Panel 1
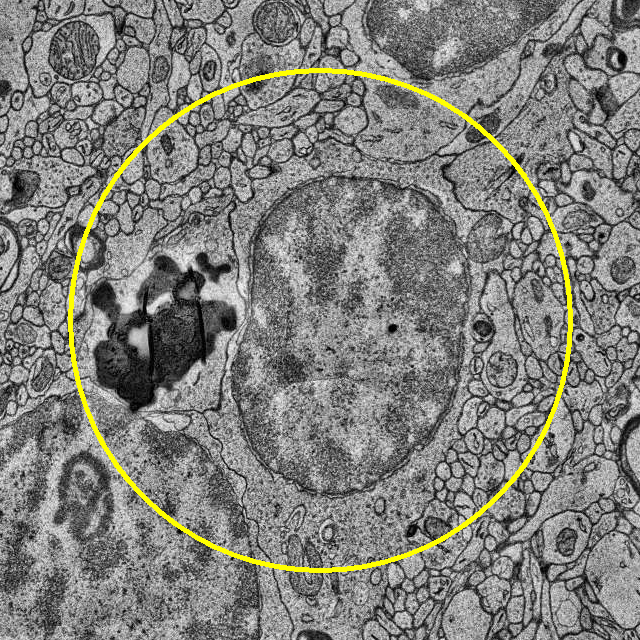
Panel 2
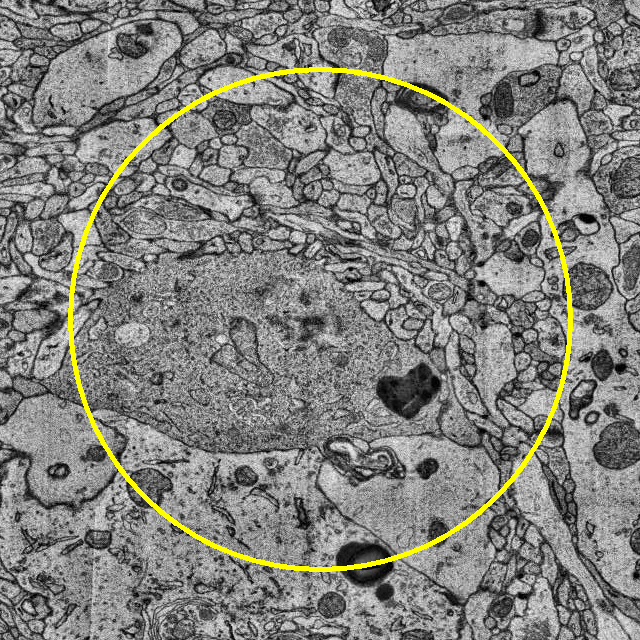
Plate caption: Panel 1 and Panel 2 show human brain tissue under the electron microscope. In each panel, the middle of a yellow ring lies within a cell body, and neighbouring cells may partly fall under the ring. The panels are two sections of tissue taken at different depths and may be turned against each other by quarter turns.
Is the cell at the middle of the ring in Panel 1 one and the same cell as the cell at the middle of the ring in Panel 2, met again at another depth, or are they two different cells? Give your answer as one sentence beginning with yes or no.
No, two distinct cells are each enclosed by a yellow ring.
